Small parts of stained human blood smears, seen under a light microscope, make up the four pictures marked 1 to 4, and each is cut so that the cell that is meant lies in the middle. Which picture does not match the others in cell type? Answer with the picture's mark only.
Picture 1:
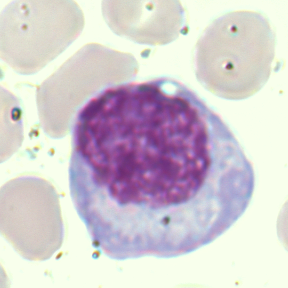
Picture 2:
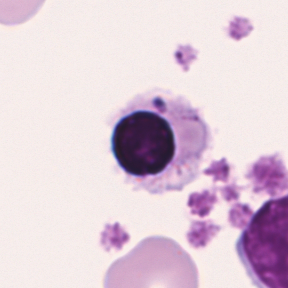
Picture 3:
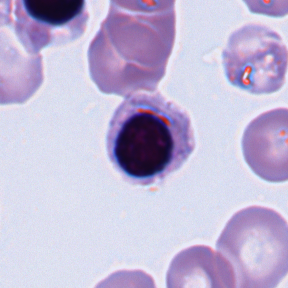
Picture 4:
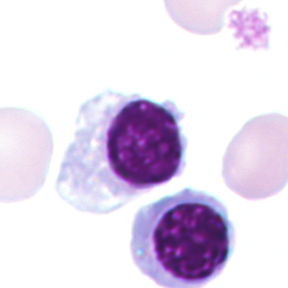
1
